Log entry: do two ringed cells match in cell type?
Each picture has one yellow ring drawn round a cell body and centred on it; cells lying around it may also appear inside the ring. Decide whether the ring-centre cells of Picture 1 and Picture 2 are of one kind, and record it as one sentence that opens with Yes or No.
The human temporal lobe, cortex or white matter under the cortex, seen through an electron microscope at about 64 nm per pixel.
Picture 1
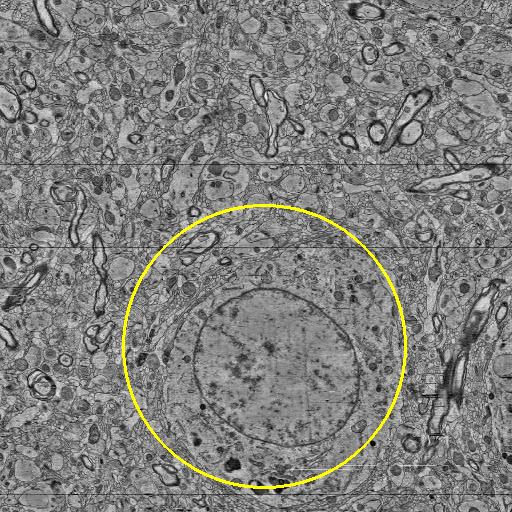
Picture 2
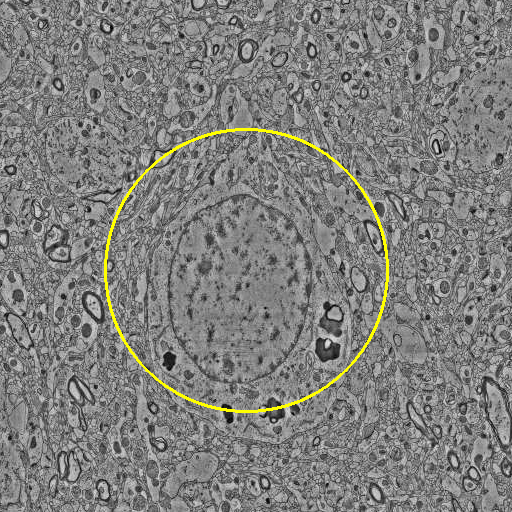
No, the cells at the ring centres of the two pictures belong to two kinds.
